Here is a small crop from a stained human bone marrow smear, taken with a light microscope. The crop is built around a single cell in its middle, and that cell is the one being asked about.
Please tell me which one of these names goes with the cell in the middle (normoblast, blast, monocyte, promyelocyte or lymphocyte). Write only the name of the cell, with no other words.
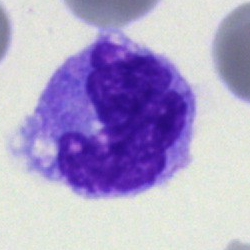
monocyte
